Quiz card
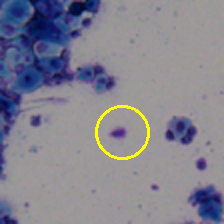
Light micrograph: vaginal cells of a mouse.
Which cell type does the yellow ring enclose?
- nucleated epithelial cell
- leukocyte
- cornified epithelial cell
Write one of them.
leukocyte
